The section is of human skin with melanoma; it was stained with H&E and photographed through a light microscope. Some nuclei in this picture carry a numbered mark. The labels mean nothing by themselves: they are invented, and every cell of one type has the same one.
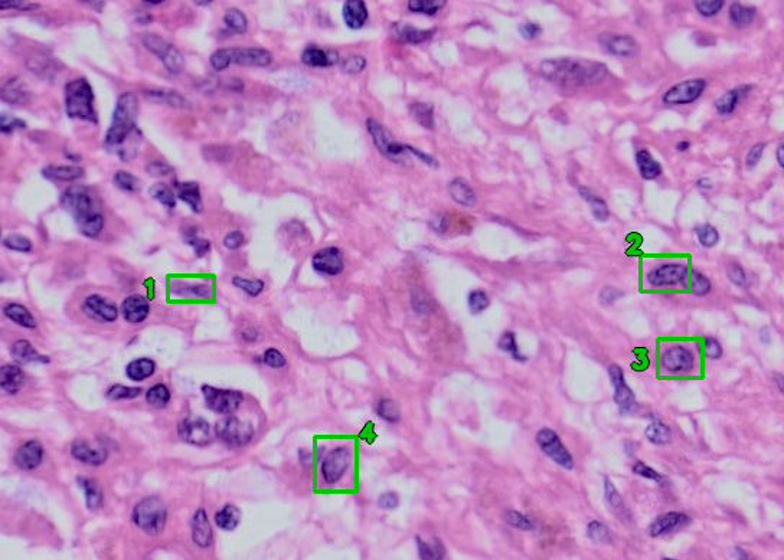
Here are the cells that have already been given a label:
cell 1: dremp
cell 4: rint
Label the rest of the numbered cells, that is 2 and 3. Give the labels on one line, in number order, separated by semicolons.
rint; rint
